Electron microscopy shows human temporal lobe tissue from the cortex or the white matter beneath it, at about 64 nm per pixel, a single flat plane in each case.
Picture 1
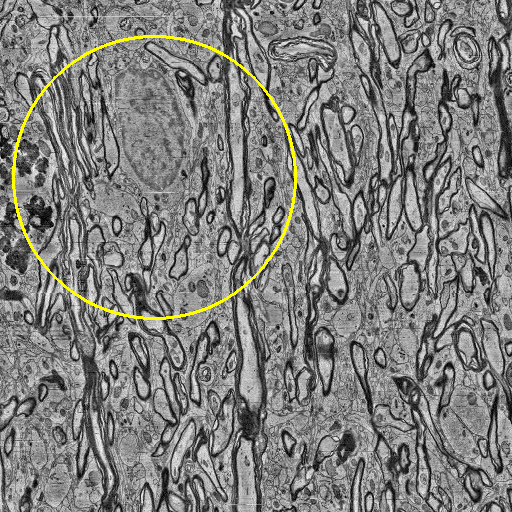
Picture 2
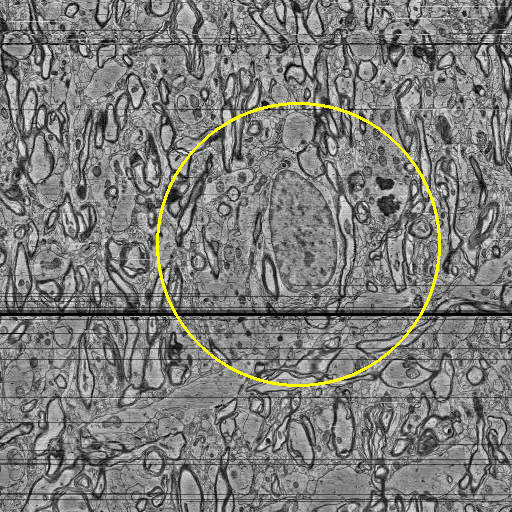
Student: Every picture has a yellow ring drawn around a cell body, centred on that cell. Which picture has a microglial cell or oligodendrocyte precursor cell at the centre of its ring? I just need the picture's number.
2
